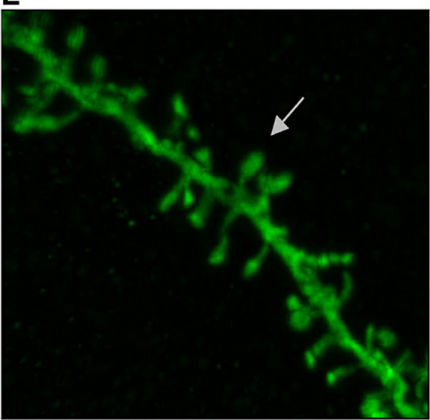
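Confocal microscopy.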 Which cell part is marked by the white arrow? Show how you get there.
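Spine. The arrow points to a small protrusion budding from the side of the green dendrite. Many similar short protrusions with rounded heads line both sides of the dendrite.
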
